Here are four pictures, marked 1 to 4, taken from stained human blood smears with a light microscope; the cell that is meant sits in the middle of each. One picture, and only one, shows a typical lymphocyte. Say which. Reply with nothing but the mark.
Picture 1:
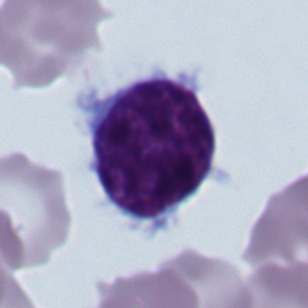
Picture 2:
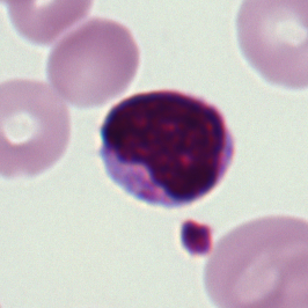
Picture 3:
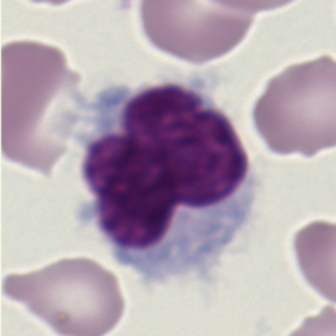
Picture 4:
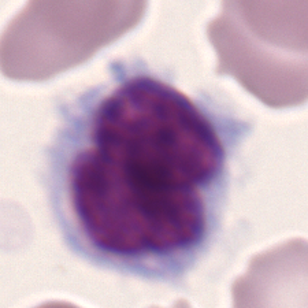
2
